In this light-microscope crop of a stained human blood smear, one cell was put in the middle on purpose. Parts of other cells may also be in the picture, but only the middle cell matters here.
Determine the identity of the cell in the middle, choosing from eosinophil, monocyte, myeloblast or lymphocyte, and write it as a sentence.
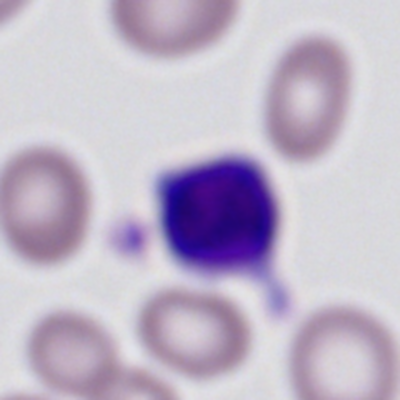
The crop's centre is taken up by a lymphocyte.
